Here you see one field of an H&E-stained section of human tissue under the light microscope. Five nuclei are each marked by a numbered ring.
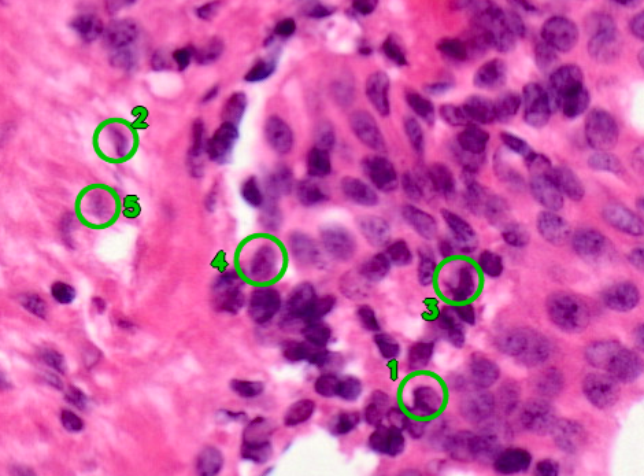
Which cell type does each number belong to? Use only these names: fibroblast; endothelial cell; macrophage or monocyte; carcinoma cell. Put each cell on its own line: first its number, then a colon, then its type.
1: carcinoma cell
2: fibroblast
3: carcinoma cell
4: carcinoma cell
5: fibroblast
